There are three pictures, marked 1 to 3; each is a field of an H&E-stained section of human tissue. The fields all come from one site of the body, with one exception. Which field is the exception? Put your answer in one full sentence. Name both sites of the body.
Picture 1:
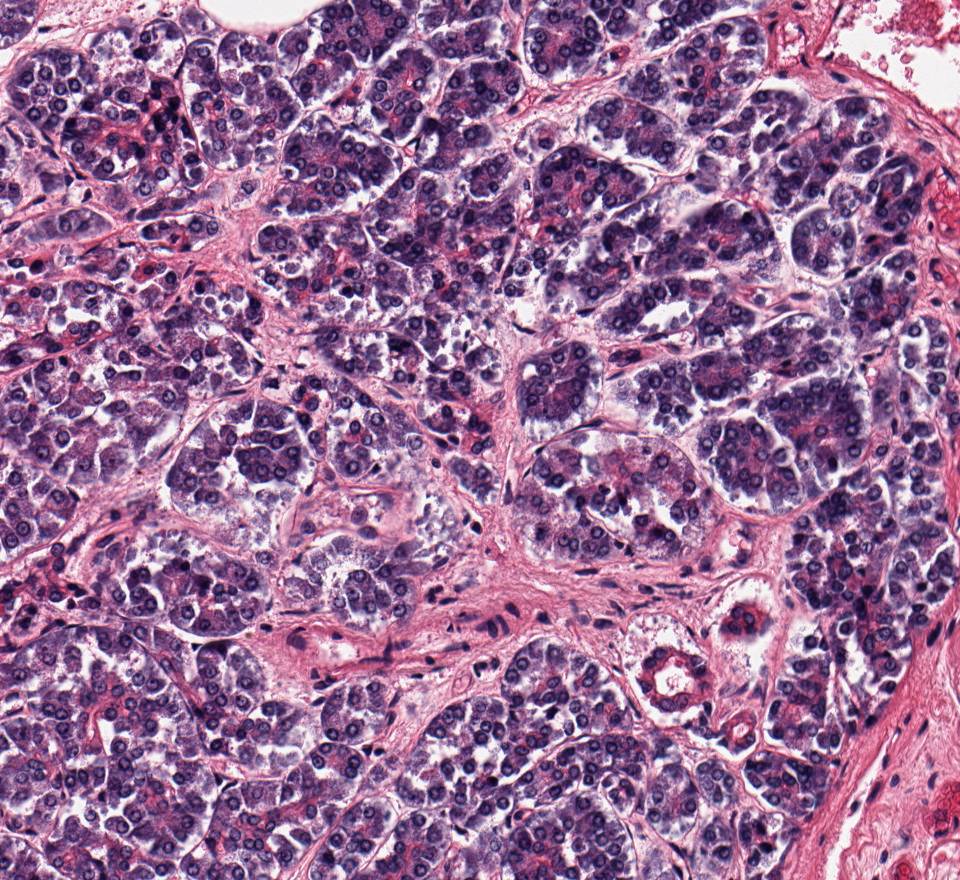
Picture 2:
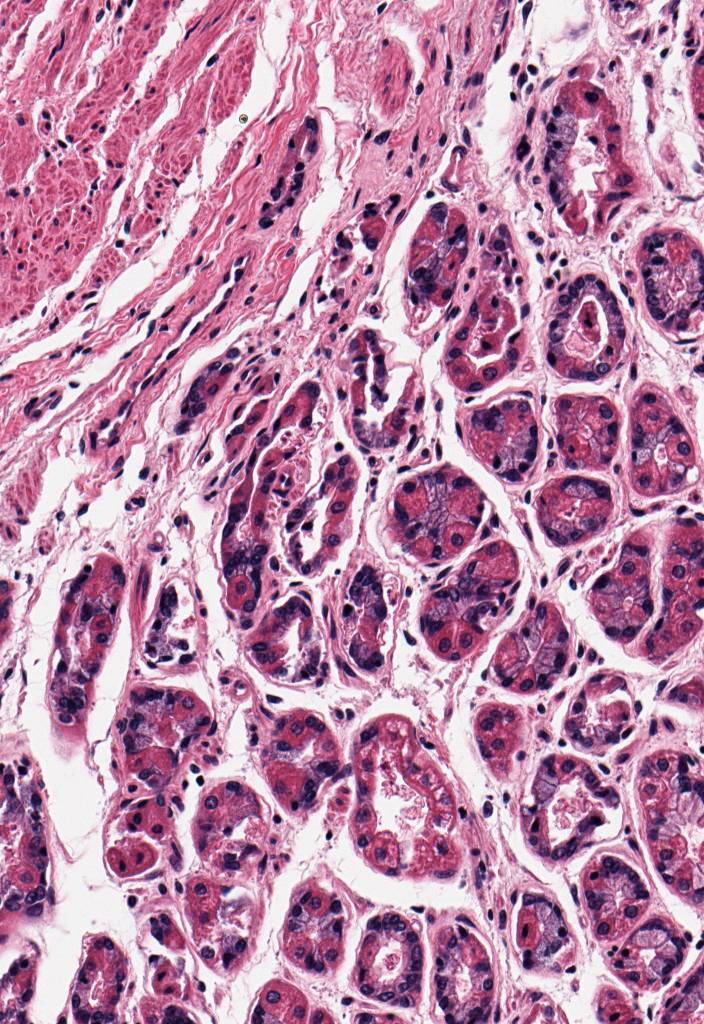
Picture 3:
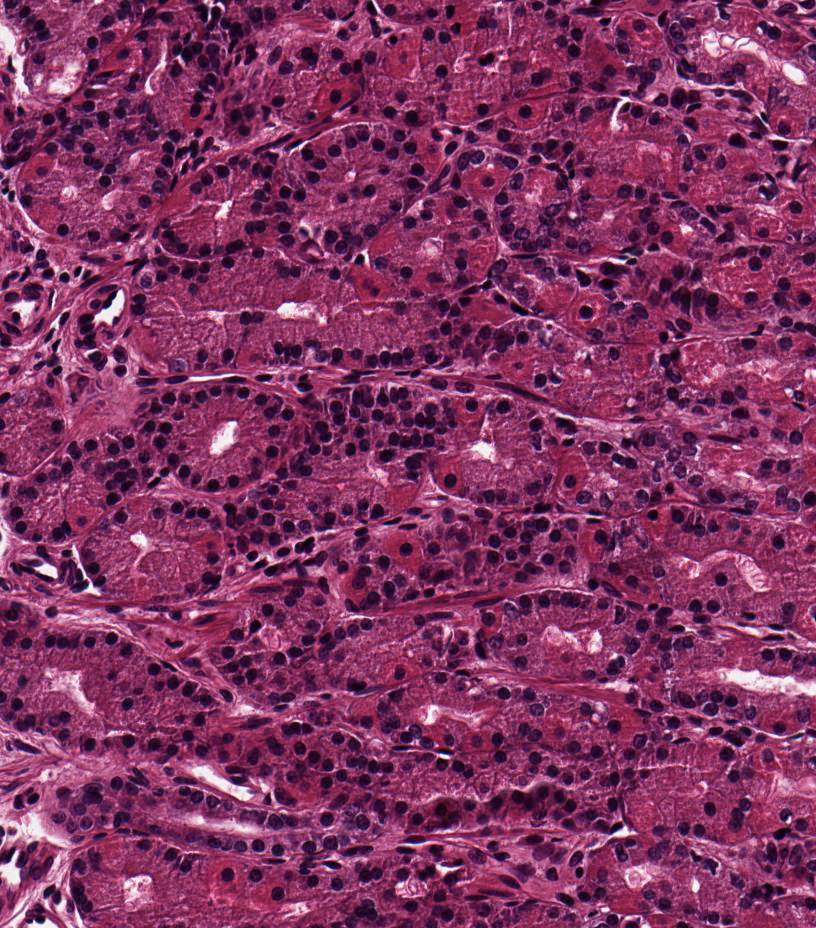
All pictures except 1 come from the stomach; picture 1 comes from the pancreas.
